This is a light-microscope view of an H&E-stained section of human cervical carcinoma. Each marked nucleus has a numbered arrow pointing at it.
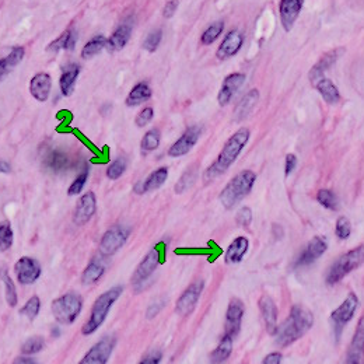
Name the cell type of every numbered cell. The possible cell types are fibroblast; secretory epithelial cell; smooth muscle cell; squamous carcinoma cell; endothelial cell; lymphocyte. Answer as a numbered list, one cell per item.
1. lymphocyte
2. smooth muscle cell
